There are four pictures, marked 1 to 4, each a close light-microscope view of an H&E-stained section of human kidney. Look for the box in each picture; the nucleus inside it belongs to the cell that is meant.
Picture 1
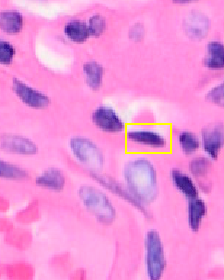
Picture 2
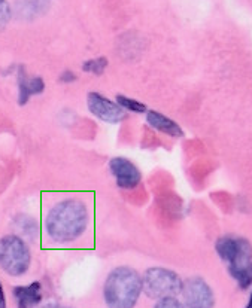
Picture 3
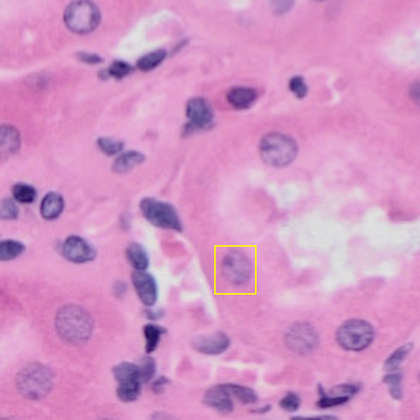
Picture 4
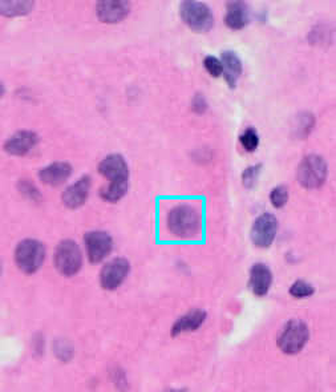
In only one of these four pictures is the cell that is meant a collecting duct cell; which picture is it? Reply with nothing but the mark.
2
